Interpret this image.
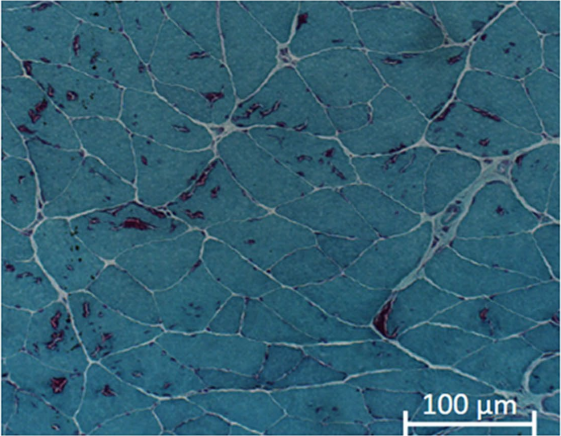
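This cross-section of skeletal muscle shows closely packed polygonal muscle fibers of varying size, evenly stained blue-green. The fibers are separated by thin, pale strands of endomysium, which widen into small pale areas where several fibers meet. Within some fibers lie small, elongated dark red deposits, many of them near the fiber edge.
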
